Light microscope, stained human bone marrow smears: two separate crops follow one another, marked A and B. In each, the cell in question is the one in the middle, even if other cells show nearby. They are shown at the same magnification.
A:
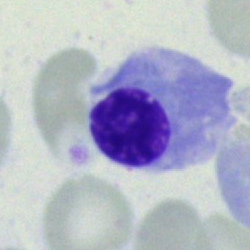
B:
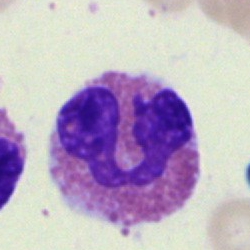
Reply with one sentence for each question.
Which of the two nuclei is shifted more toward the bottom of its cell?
It is the nucleus in crop A that lies further toward the bottom of its cell.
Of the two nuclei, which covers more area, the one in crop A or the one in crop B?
Larger is the nucleus in crop B, at roughly 2 times the area of the other.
